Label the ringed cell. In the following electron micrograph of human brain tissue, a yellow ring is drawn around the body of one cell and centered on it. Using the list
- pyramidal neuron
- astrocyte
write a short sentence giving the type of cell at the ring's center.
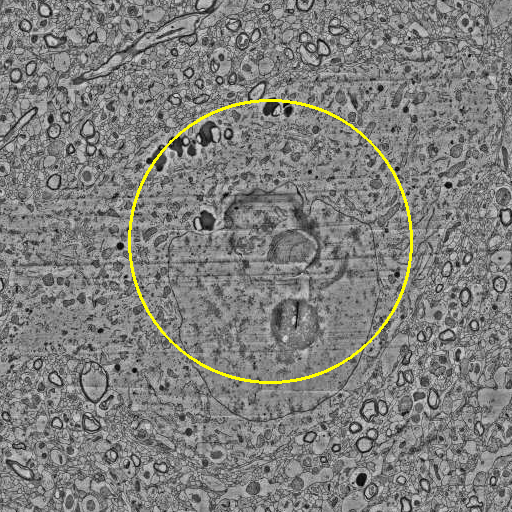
The cell body at the ring's center is that of a pyramidal neuron.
